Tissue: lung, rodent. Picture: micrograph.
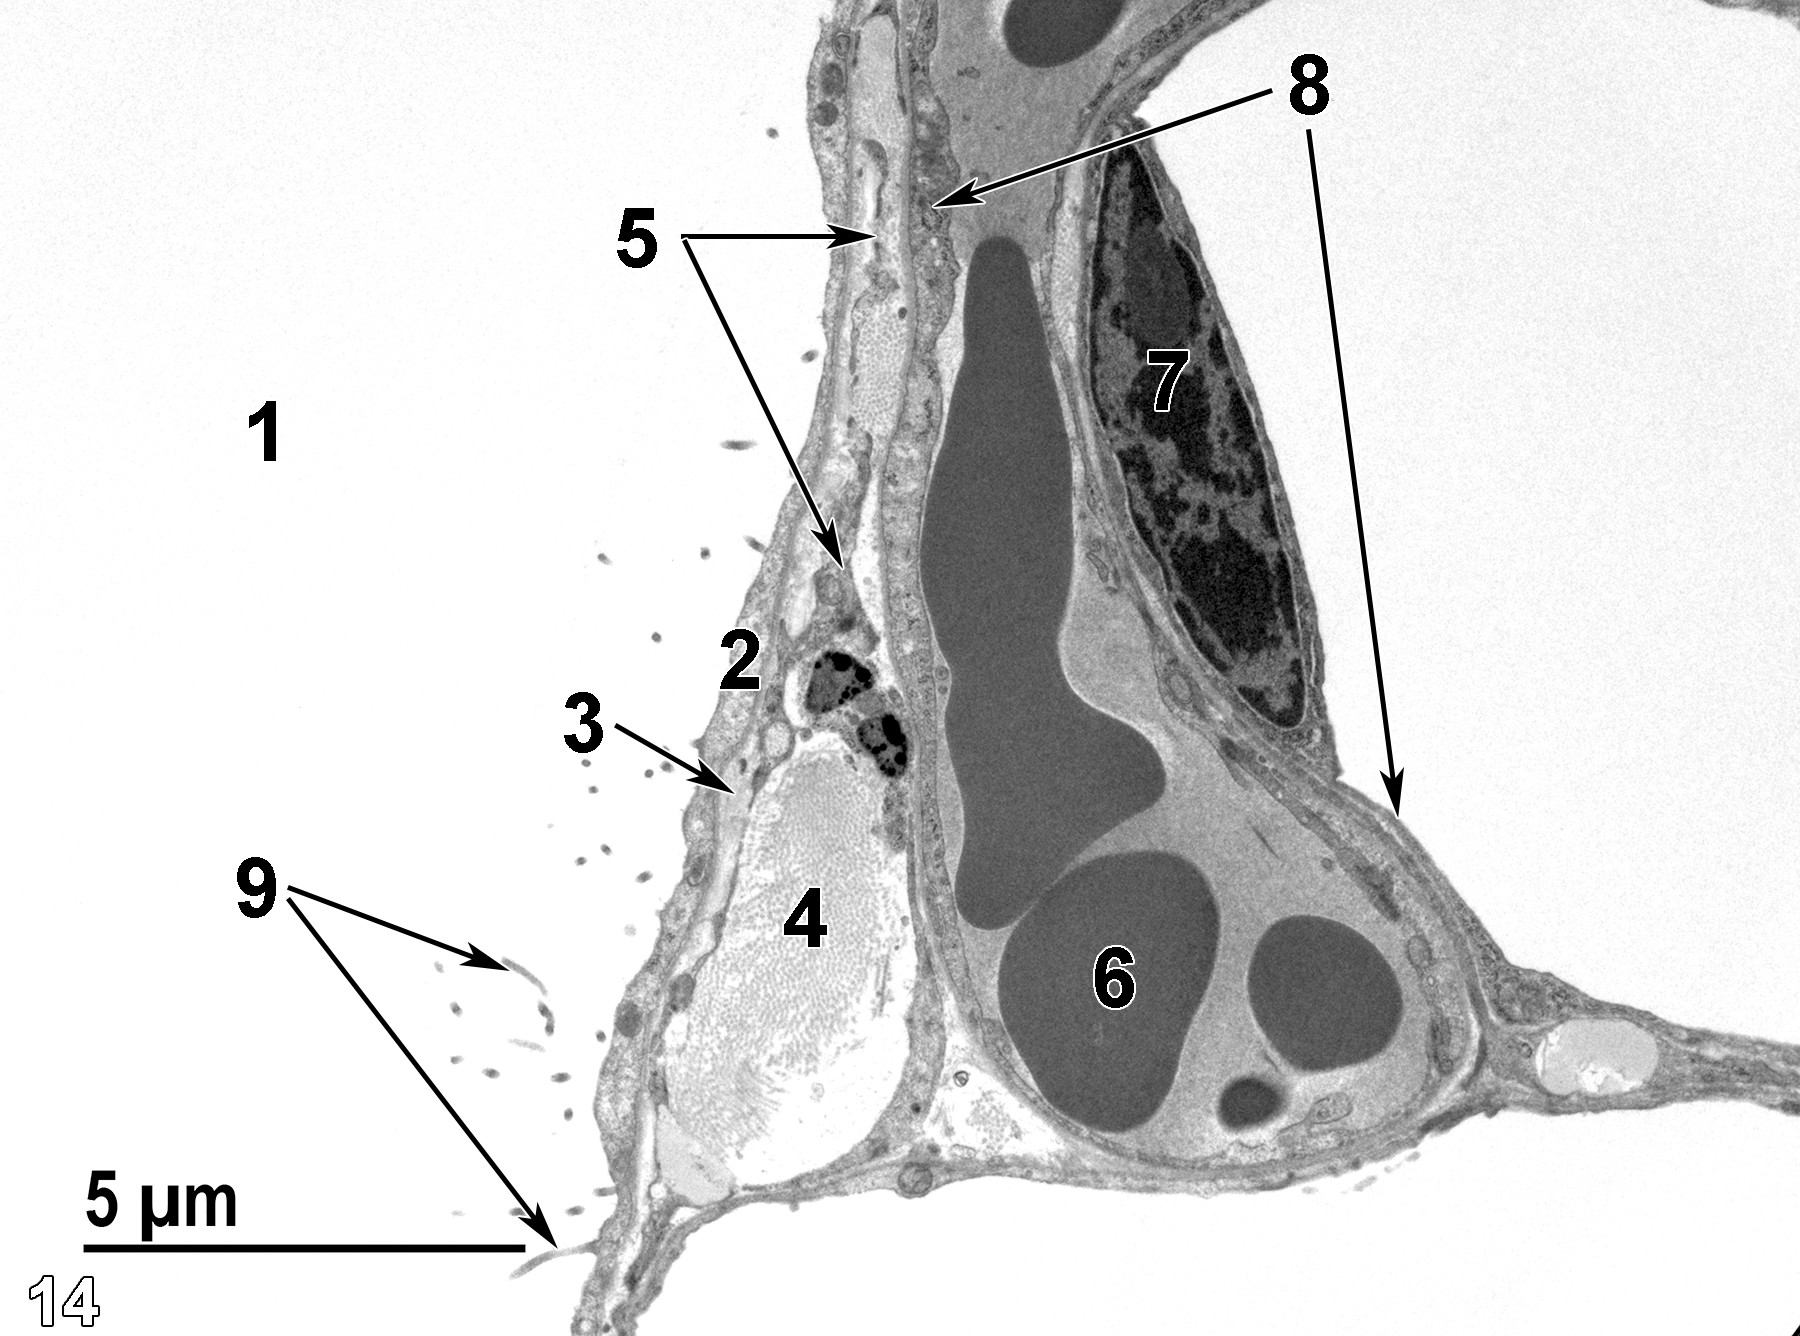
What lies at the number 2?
At 2: pleural mesothelial cell layer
